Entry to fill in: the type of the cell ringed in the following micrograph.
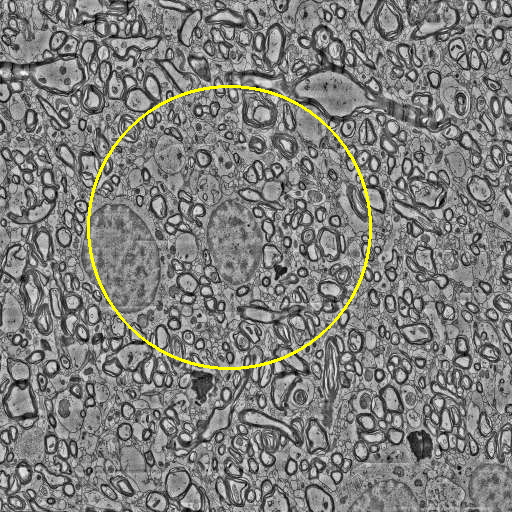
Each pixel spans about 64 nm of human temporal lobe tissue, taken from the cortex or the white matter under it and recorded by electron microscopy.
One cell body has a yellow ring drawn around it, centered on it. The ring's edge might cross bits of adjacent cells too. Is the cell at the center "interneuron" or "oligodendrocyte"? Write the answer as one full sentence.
This entry names an oligodendrocyte as the cell whose body lies at the ring's center.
